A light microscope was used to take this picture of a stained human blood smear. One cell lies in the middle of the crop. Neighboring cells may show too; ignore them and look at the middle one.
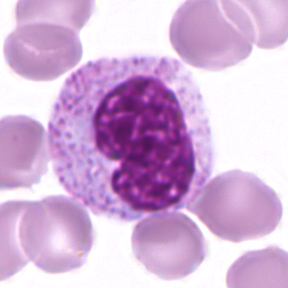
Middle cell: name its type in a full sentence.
The cell at the central position in this crop is a band neutrophil.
